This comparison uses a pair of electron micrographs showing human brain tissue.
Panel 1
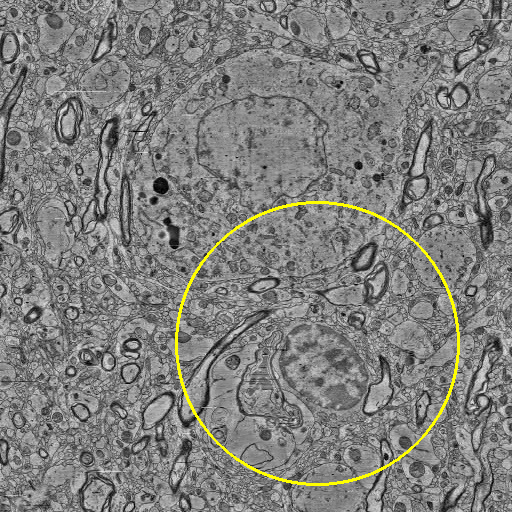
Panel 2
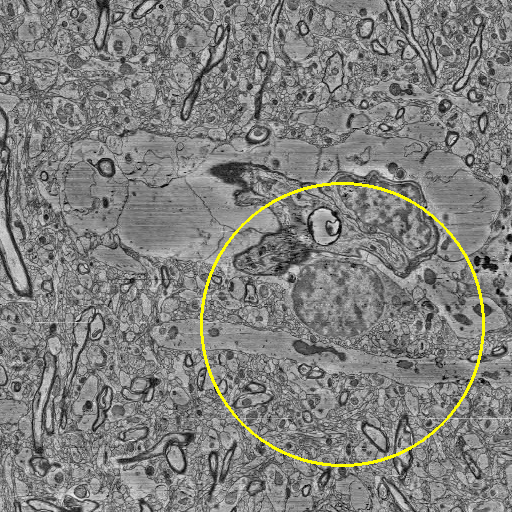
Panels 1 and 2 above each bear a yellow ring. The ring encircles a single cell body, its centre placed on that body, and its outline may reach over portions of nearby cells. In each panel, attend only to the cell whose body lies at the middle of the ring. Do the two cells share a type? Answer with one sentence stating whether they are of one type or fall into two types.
In Panel 1 and Panel 2, the cells at the centres of the rings are of one type.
